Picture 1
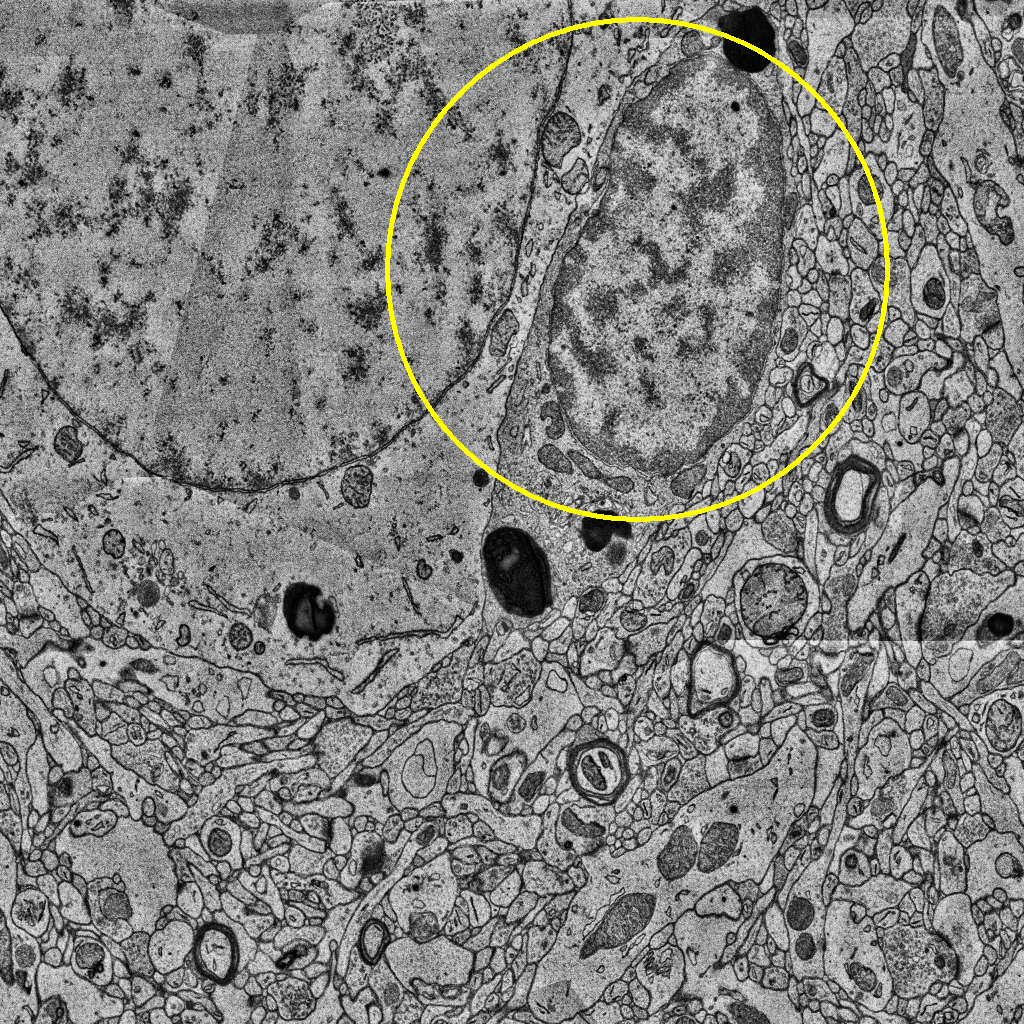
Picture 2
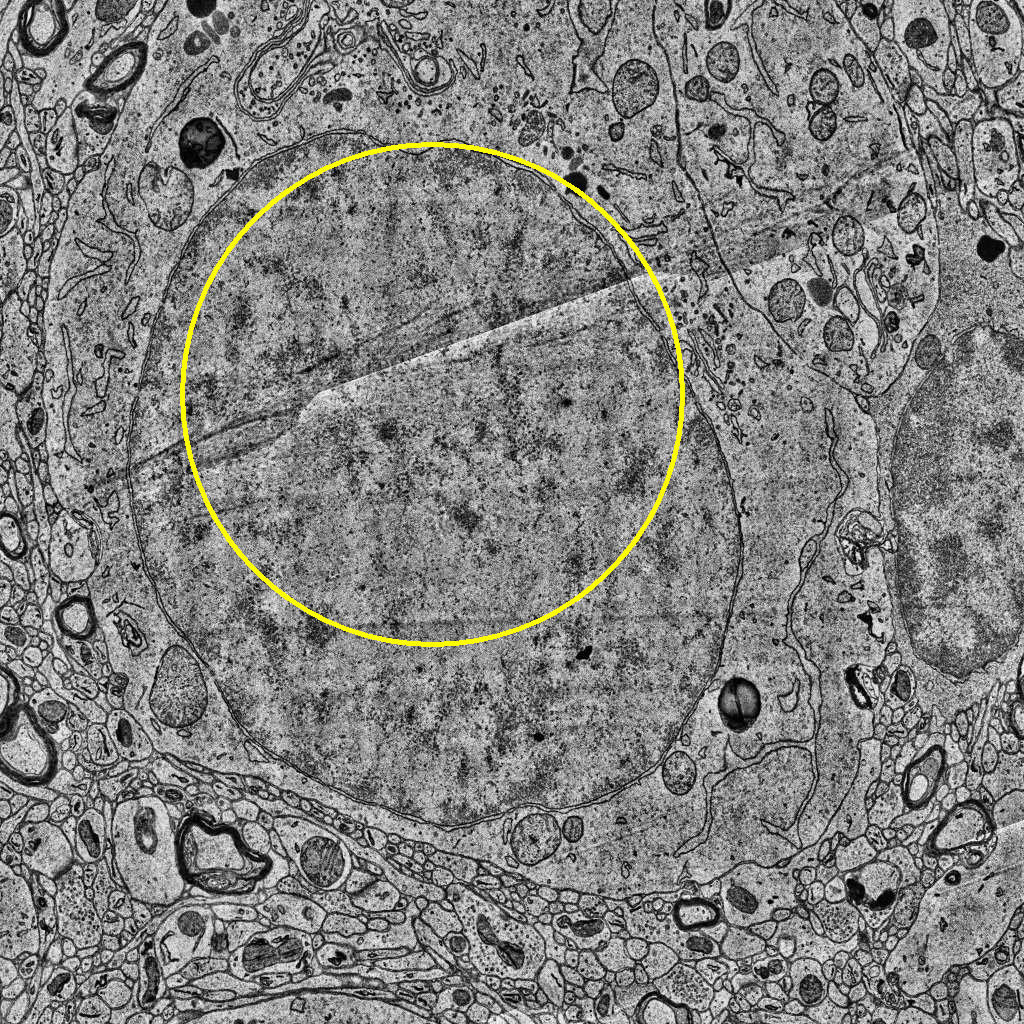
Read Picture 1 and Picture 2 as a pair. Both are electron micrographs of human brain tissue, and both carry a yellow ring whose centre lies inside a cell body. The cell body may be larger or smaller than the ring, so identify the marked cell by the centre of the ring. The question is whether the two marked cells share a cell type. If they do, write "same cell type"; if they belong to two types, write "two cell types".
two cell types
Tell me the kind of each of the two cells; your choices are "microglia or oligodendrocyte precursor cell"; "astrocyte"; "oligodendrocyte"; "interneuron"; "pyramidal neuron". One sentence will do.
In the first picture we have an oligodendrocyte, and in the second, an interneuron.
